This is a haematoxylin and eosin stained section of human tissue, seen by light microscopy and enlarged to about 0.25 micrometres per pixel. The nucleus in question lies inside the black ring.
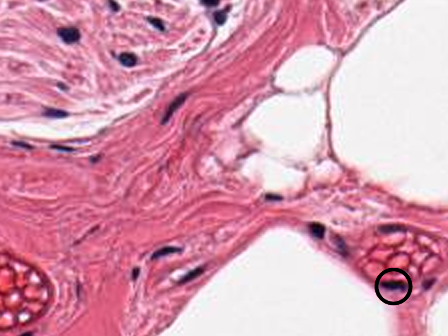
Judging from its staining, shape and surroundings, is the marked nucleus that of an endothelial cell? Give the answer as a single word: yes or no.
yes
